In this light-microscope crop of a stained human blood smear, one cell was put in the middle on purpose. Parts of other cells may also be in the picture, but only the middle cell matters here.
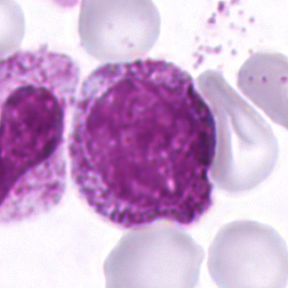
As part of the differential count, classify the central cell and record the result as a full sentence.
In the middle of this smear crop is a myelocyte.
